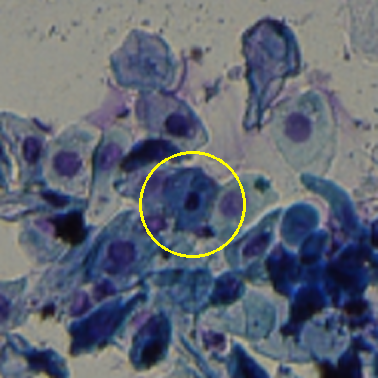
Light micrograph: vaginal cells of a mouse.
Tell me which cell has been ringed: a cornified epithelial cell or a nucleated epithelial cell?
It is a nucleated epithelial cell.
